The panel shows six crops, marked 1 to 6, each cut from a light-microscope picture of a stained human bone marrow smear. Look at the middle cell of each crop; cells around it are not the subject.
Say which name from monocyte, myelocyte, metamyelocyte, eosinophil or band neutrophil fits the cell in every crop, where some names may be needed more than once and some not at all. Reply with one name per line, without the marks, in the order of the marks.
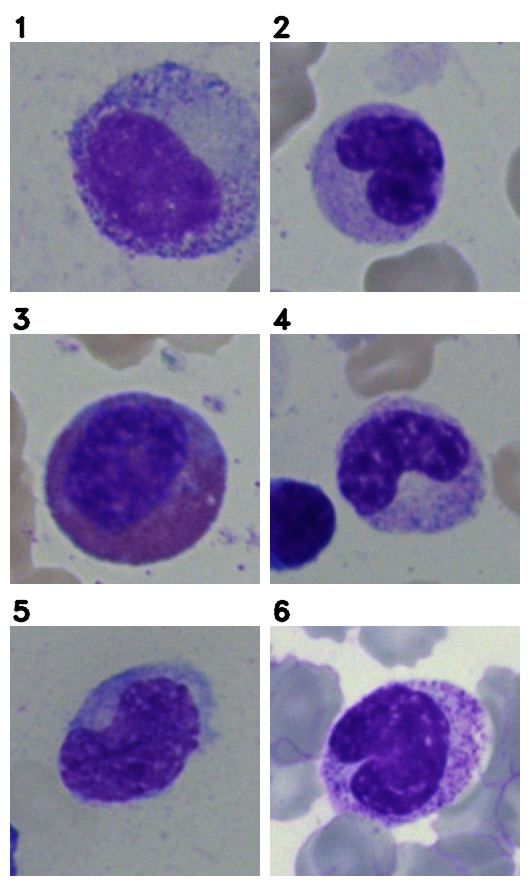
myelocyte
band neutrophil
eosinophil
metamyelocyte
monocyte
metamyelocyte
